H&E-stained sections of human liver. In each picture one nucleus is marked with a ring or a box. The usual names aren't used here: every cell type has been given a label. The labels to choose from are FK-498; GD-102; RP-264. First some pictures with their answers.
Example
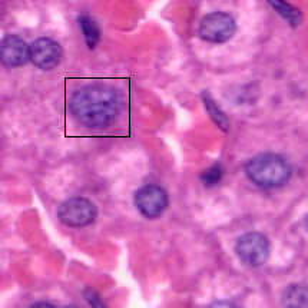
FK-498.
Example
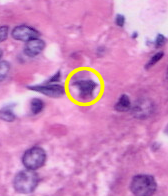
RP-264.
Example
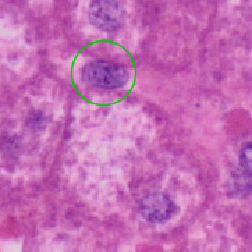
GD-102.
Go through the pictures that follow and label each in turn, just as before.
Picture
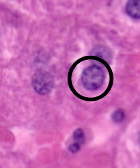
FK-498.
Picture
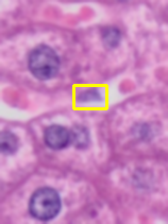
GD-102.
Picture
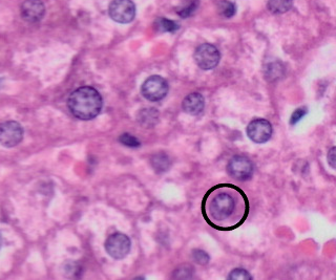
FK-498.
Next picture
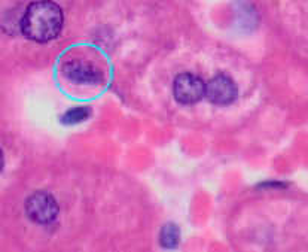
RP-264.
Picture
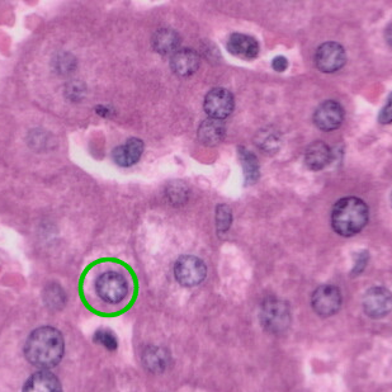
FK-498.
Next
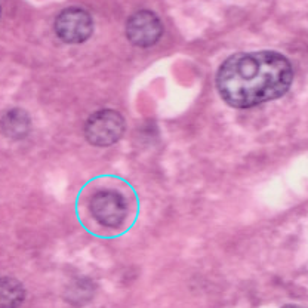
FK-498.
